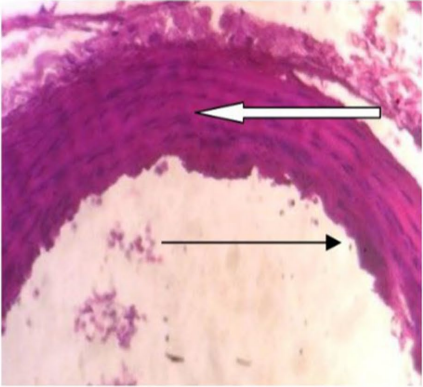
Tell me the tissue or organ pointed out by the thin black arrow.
Tunica intima.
